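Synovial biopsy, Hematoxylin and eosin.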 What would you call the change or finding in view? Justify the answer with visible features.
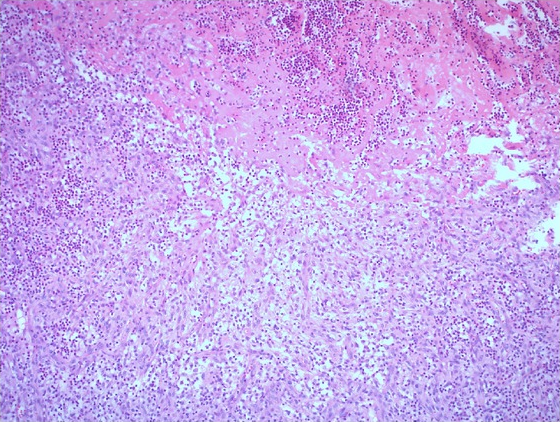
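Active inflammation. Sheets and clusters of small dark-nucleated inflammatory cells spread across the tissue. Loose, pale, edematous pink stroma between the cell clusters.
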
